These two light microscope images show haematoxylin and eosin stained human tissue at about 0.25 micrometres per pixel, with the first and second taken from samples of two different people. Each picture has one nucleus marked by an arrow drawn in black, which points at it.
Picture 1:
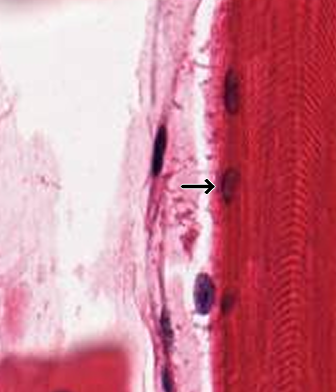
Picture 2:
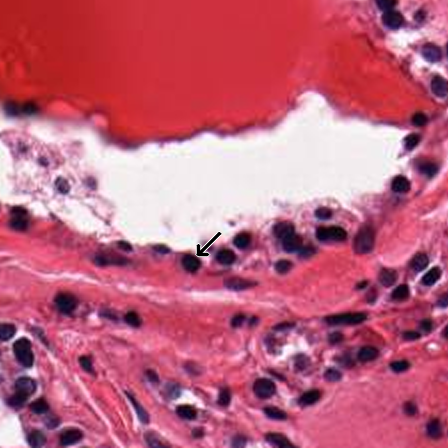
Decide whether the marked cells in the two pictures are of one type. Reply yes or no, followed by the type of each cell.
No, the first is a skeletal muscle fibre and the second a thyroid follicular cell.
